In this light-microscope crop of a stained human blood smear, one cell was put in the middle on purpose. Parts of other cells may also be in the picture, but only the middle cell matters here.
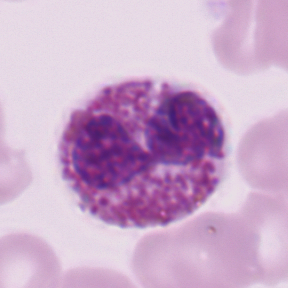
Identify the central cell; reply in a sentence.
Standing at the centre of this crop is an eosinophil.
